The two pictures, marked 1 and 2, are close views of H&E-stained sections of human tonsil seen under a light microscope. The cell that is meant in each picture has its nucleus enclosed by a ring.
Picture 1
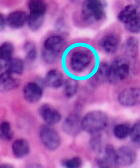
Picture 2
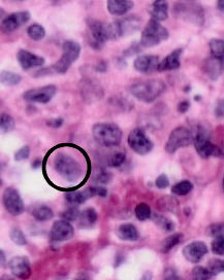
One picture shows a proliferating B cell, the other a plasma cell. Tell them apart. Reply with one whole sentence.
Picture 2 shows a proliferating B cell, while picture 1 shows a plasma cell.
